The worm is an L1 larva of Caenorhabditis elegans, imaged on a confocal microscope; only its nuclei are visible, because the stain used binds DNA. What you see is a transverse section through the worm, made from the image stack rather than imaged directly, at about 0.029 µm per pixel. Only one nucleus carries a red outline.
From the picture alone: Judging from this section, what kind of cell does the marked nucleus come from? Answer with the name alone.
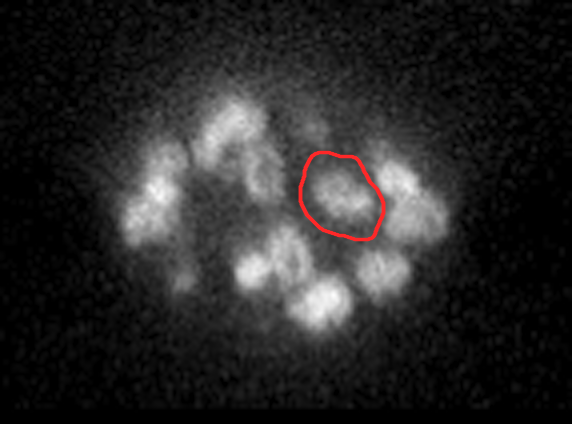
pharyngeal epithelial cell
